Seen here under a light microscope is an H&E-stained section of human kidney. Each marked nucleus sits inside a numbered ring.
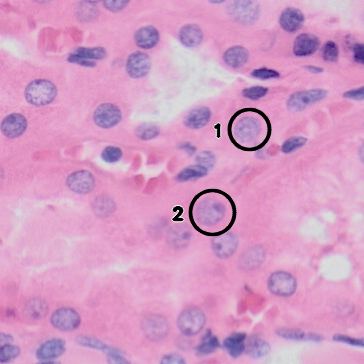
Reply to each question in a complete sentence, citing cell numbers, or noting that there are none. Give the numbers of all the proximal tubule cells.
The cell marked by number 2 is a proximal tubule cell; the other marked cells are not.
